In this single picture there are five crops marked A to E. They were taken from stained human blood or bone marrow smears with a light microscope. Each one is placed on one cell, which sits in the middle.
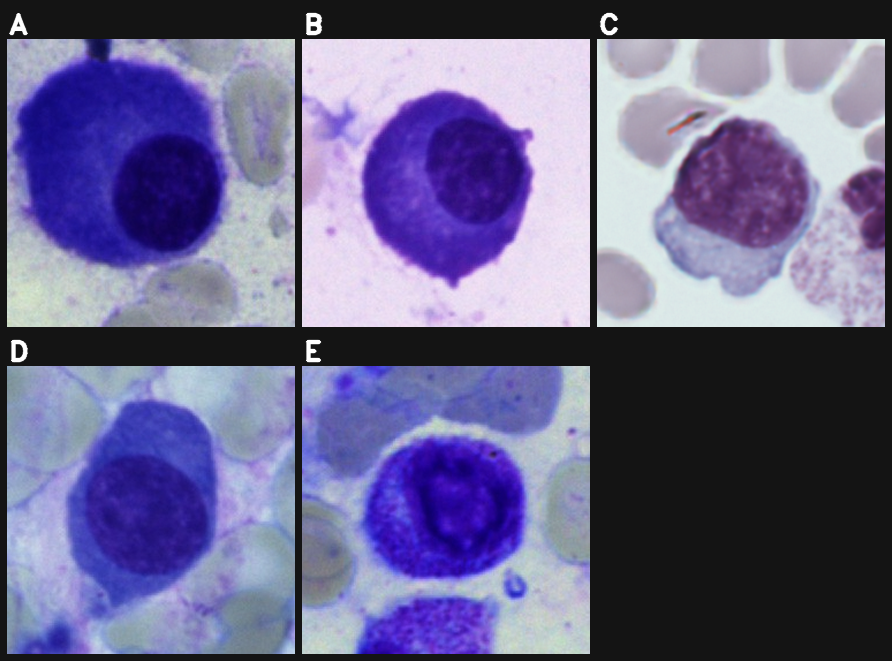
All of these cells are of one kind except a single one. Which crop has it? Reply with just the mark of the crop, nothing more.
E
